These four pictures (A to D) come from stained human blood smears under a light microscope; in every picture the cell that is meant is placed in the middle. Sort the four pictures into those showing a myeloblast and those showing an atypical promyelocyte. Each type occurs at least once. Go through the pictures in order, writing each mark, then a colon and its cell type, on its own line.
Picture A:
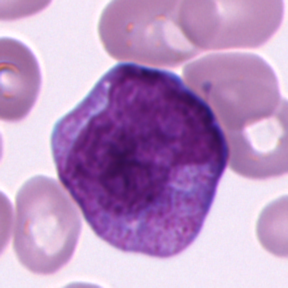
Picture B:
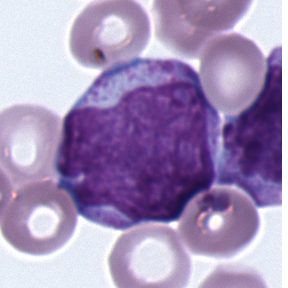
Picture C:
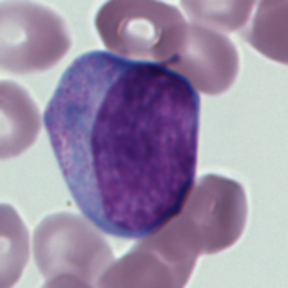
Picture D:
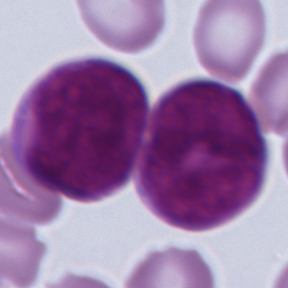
A: atypical promyelocyte
B: atypical promyelocyte
C: atypical promyelocyte
D: myeloblast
